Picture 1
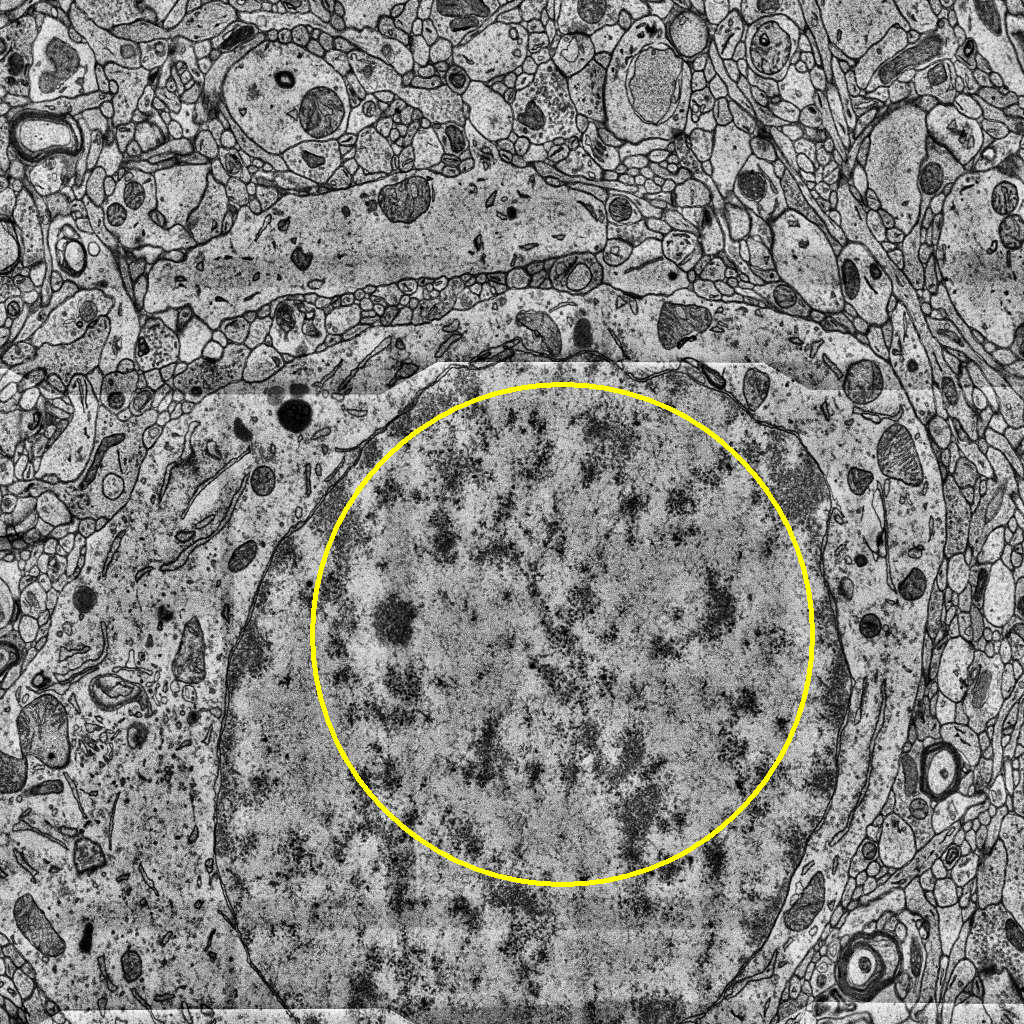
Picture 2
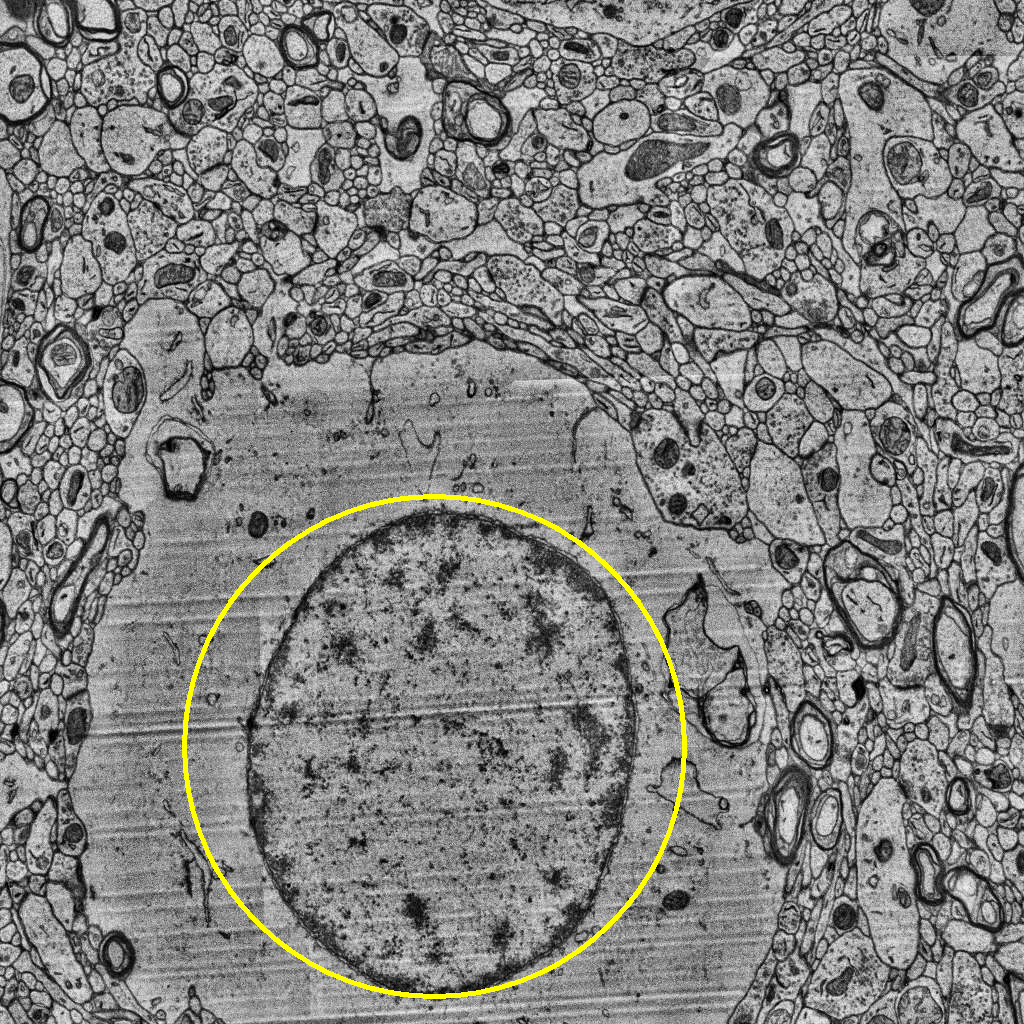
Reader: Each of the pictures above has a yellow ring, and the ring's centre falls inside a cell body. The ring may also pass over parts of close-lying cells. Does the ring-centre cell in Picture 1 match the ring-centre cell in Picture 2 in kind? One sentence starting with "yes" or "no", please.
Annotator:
No, Picture 1 and Picture 2 show ring-centre cells of two kinds.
